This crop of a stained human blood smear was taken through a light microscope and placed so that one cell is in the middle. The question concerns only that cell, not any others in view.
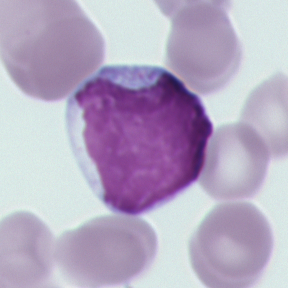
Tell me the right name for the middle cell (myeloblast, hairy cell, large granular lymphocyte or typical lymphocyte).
large granular lymphocyte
